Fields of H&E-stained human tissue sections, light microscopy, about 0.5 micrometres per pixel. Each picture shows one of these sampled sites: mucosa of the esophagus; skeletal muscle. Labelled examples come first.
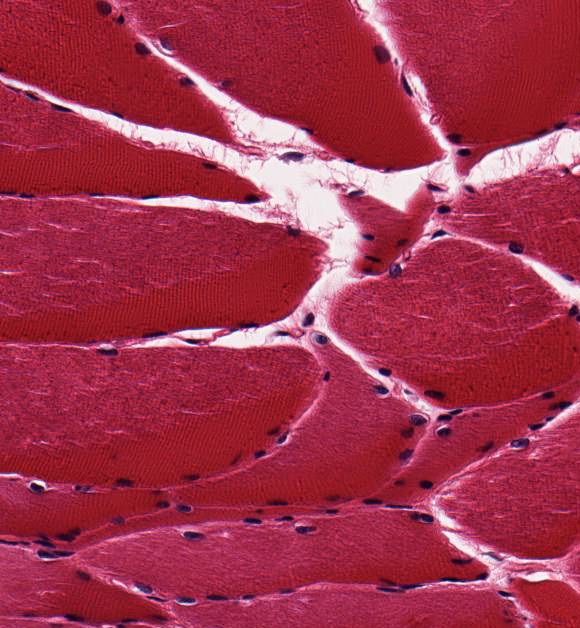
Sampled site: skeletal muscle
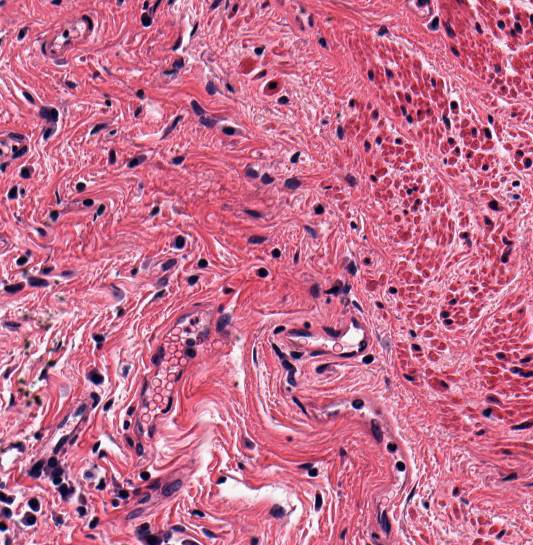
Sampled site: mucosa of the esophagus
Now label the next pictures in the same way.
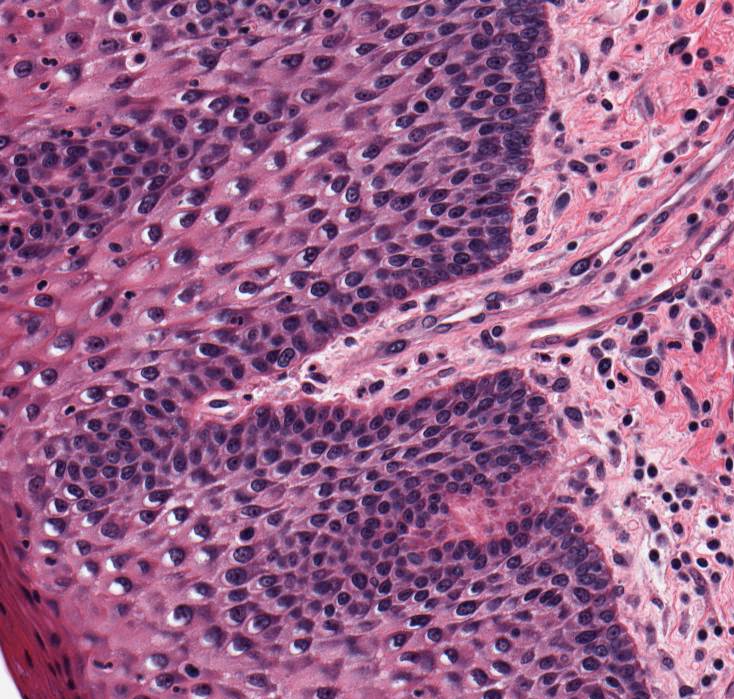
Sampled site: mucosa of the esophagus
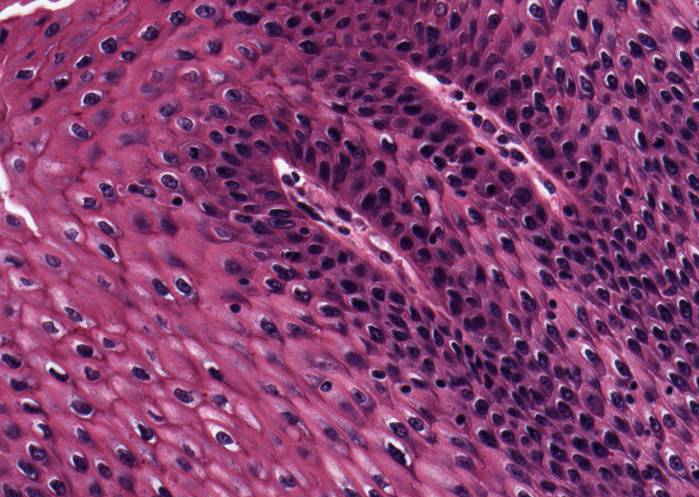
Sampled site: mucosa of the esophagus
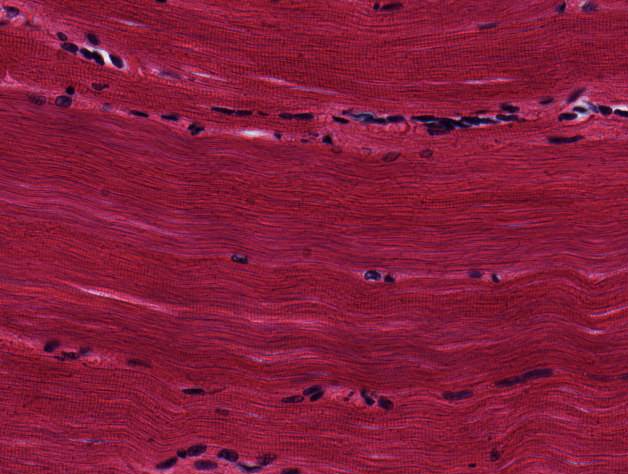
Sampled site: skeletal muscle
